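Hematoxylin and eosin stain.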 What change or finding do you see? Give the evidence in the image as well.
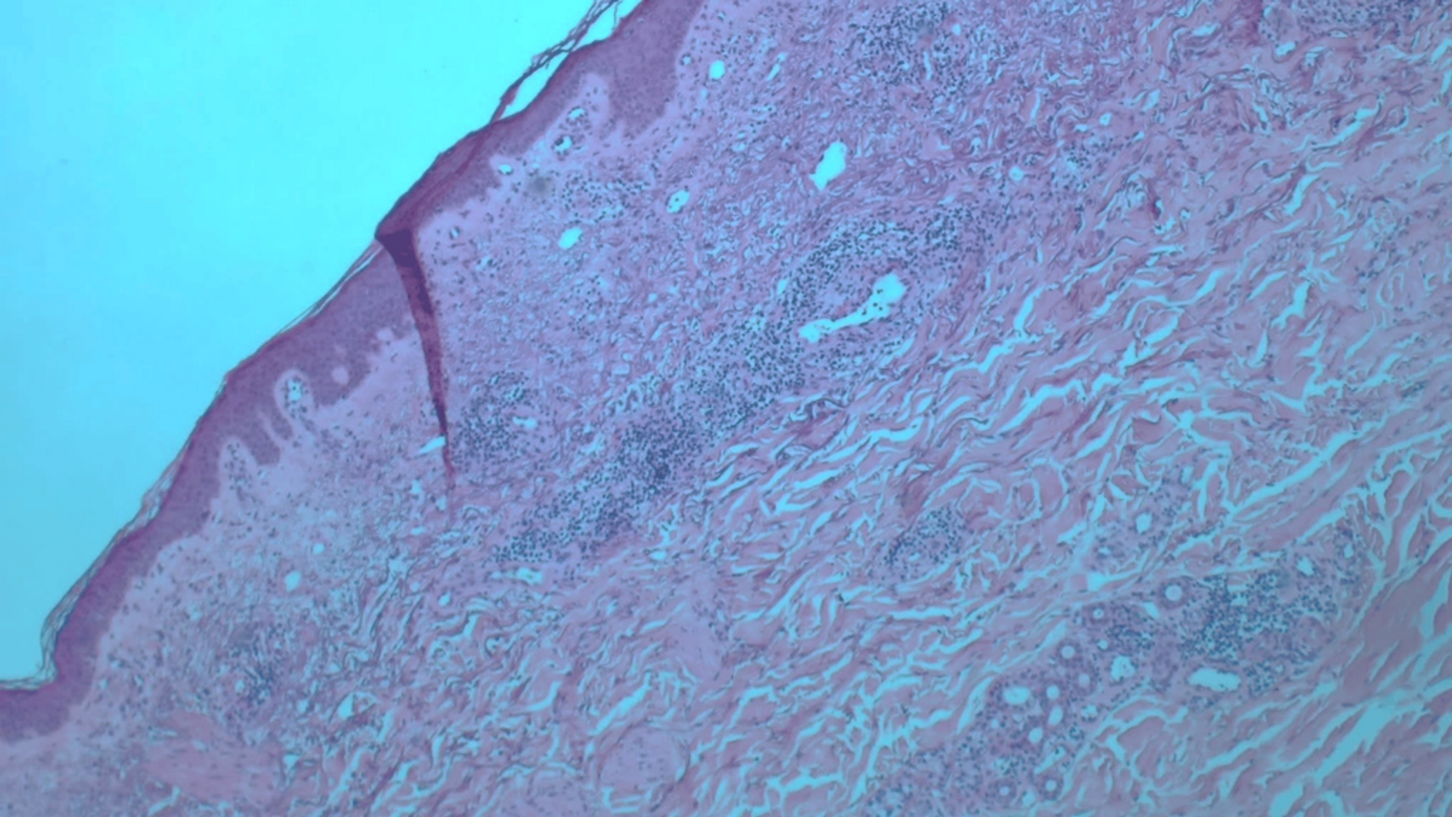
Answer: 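Dense clusters of small dark nuclei gather around small vessel lumina in the dermis. The clusters lie in the upper and middle dermis beneath the epidermis. Collagen away from the clusters has few cells. That points to this answer: perivascular inflammation in the upper and mid-dermis.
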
